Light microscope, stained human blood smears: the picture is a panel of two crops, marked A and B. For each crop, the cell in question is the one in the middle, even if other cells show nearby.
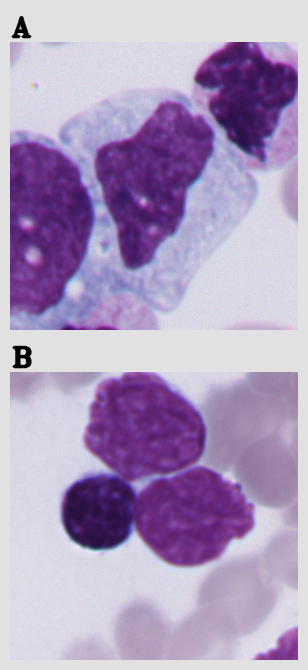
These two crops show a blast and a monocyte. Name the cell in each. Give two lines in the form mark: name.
A: monocyte
B: blast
